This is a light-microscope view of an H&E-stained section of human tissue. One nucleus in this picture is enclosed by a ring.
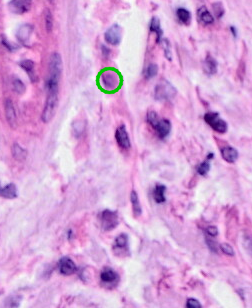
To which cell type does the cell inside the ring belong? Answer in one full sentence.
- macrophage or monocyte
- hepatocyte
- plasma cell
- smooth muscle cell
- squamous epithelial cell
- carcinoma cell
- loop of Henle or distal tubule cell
As far as its identity is concerned, the cell inside the ring is a macrophage or monocyte.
